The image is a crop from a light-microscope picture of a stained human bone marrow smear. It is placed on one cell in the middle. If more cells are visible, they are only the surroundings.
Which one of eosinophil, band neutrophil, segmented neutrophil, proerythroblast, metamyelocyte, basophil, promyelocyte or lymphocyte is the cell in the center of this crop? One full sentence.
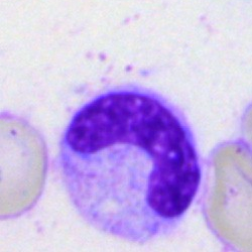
The crop centres on a single cell, and that cell is a band neutrophil.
